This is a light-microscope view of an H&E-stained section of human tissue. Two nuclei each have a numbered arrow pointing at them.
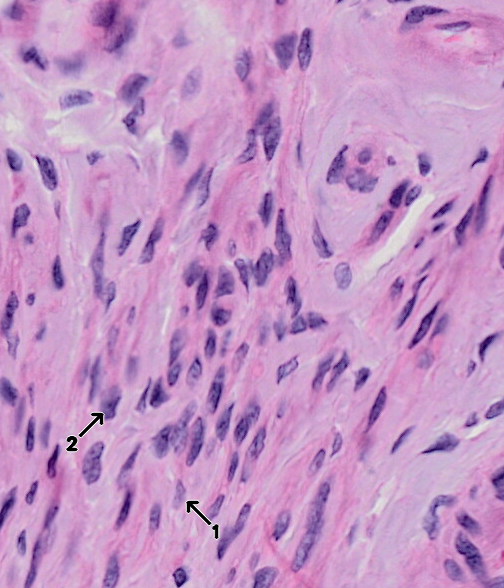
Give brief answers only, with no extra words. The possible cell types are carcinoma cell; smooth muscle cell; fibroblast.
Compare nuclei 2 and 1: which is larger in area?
2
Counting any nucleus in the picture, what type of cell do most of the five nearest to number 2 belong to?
smooth muscle cell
